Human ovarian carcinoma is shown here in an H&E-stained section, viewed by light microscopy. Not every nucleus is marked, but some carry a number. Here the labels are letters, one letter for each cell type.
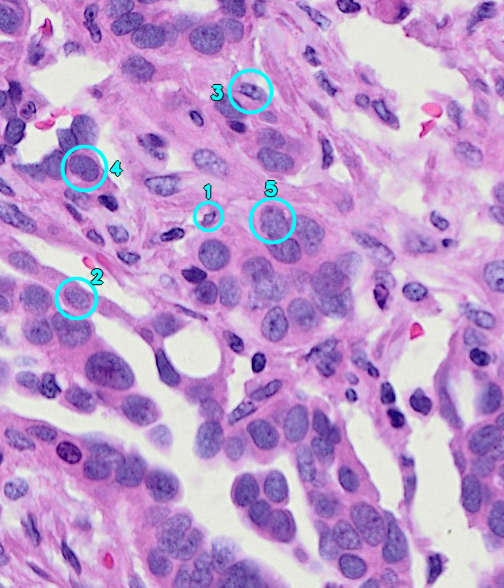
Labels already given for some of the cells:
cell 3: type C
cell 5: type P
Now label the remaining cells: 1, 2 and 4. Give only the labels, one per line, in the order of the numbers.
type C
type P
type P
